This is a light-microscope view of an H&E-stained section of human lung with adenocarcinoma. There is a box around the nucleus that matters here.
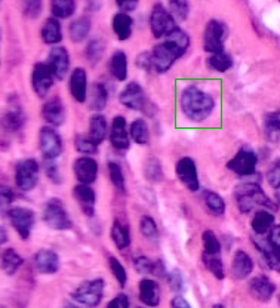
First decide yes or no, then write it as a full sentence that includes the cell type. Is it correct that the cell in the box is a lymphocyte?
Yes, a lymphocyte is what the cell in the box represents in this tissue.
